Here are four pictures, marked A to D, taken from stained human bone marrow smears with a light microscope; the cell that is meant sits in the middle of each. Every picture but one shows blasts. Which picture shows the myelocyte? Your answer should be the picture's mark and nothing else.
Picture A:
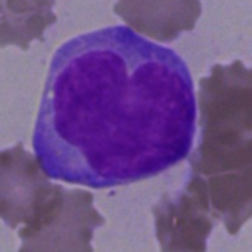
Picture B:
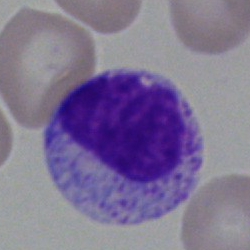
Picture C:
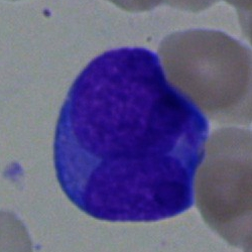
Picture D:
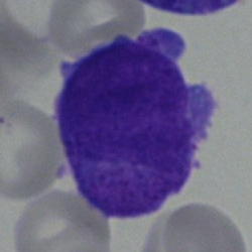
B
